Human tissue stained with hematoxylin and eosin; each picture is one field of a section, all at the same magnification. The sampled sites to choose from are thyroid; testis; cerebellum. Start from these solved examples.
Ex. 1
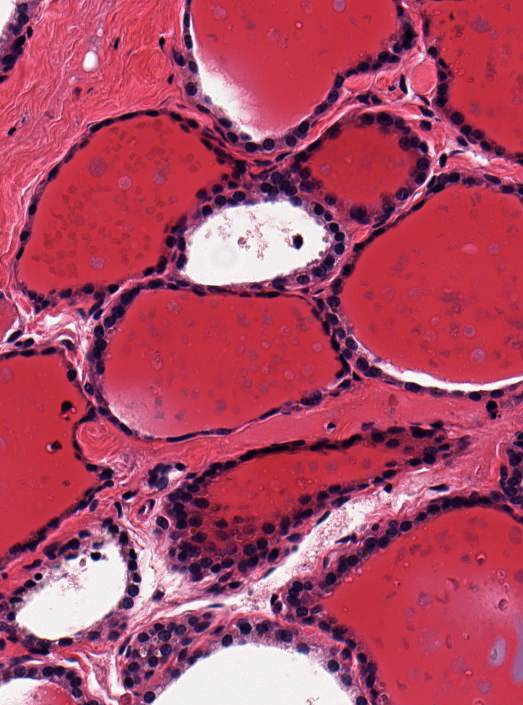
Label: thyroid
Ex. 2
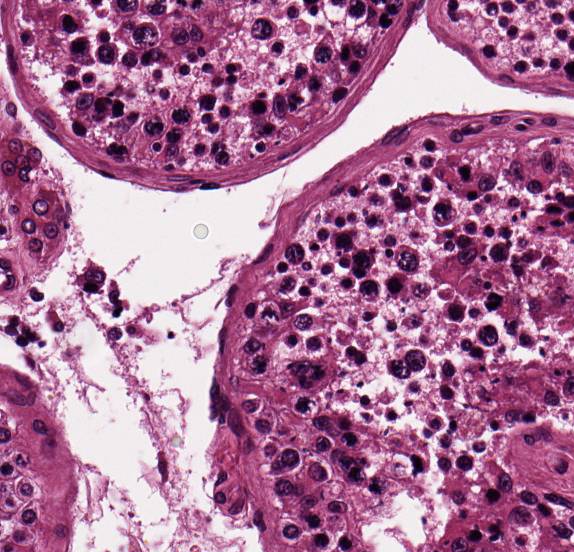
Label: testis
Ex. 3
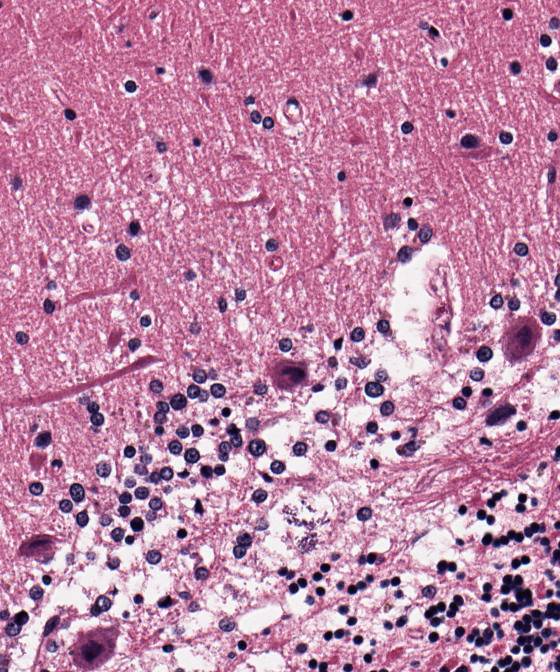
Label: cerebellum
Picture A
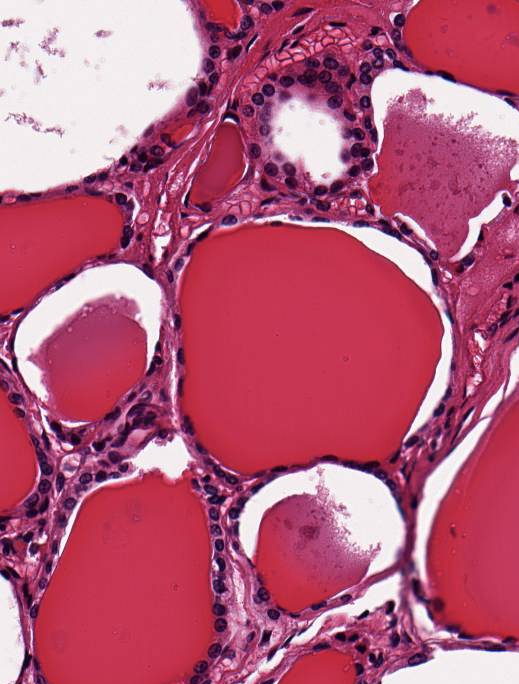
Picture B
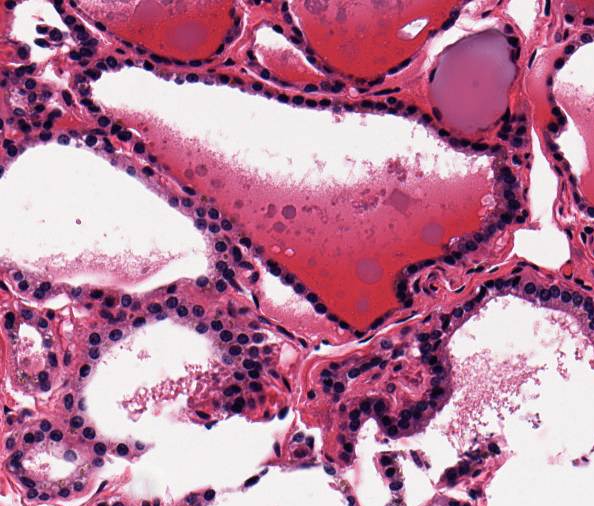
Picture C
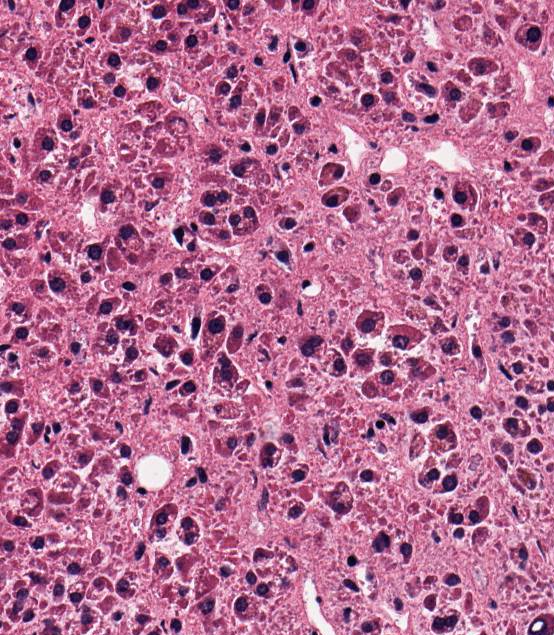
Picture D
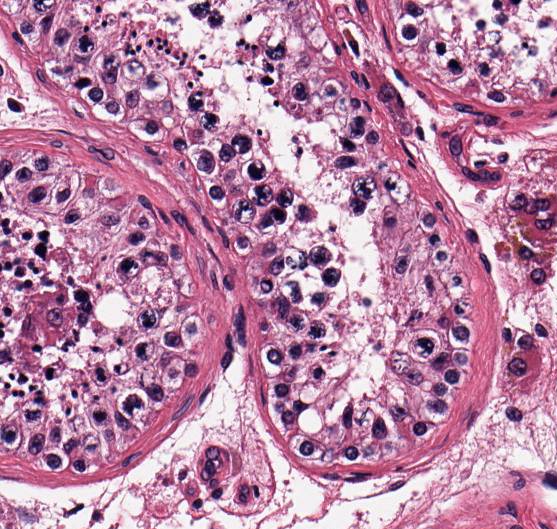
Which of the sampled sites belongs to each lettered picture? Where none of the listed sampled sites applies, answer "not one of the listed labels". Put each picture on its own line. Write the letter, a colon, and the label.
A: thyroid
B: thyroid
C: not one of the listed labels
D: testis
